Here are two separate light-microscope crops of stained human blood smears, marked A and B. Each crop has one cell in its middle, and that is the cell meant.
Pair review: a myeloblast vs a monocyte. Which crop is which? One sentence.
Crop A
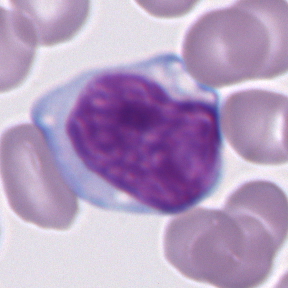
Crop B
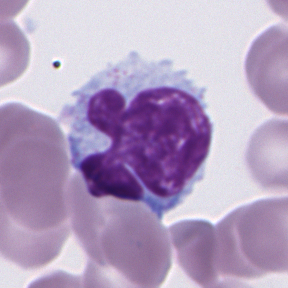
So, crop A is a myeloblast, and crop B is a monocyte.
